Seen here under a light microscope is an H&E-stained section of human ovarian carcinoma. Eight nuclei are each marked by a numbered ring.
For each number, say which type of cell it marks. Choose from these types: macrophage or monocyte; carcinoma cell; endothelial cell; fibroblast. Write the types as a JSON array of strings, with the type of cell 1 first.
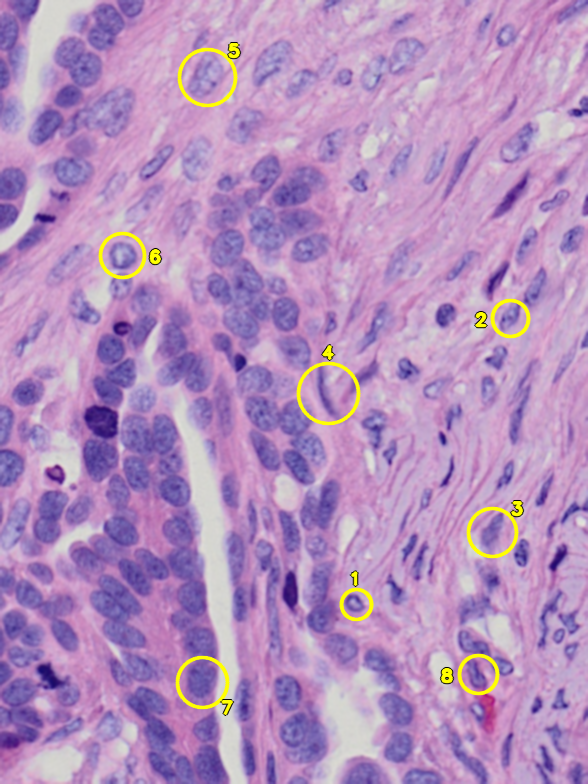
["macrophage or monocyte", "fibroblast", "fibroblast", "fibroblast", "fibroblast", "fibroblast", "carcinoma cell", "endothelial cell"]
